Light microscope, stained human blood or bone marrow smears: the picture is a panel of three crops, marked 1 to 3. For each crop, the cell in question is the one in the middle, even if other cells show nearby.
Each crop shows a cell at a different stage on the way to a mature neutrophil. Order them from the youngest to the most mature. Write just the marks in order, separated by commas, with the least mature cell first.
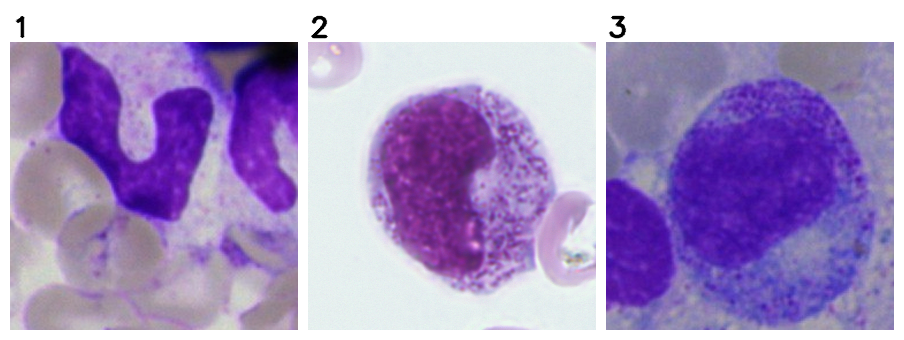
3, 2, 1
